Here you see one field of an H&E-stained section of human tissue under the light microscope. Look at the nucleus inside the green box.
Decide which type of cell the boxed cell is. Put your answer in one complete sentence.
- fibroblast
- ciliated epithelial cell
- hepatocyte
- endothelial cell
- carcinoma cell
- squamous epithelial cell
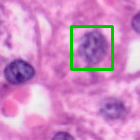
At the level of cell identity, the boxed cell is a hepatocyte.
